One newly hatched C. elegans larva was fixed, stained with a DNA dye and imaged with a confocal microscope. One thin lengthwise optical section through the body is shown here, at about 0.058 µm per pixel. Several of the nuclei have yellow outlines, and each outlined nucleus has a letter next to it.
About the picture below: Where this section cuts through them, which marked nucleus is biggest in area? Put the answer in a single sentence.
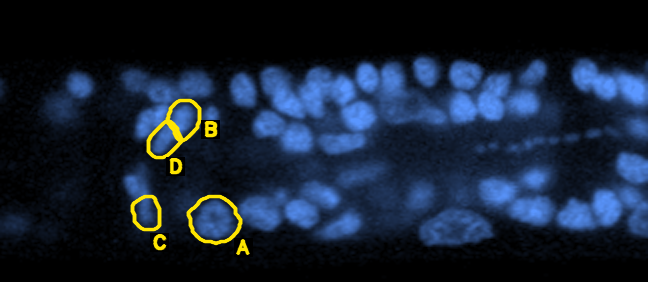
Nucleus A covers the most area here.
